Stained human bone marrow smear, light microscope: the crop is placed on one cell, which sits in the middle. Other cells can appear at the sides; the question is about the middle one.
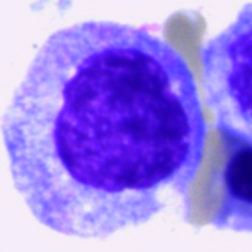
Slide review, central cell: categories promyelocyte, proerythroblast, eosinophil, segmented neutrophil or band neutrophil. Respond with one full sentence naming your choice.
The cell in the exact centre of the crop is a promyelocyte.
